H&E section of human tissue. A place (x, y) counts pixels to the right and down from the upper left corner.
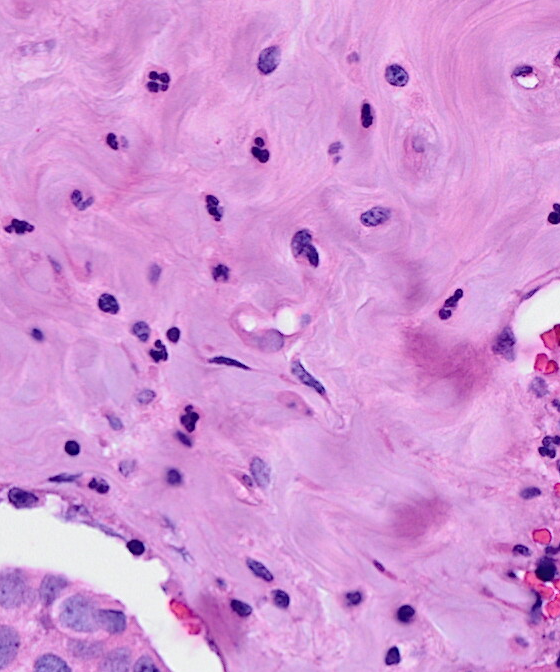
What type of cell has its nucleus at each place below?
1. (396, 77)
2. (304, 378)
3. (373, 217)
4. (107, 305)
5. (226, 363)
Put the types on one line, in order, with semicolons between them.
mast cell; fibroblast; mast cell; lymphocyte; fibroblast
